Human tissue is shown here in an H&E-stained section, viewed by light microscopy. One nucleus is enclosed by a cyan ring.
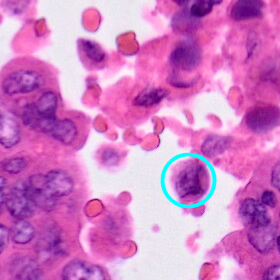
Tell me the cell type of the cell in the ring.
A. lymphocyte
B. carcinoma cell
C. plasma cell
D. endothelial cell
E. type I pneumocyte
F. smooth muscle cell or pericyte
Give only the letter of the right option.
B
